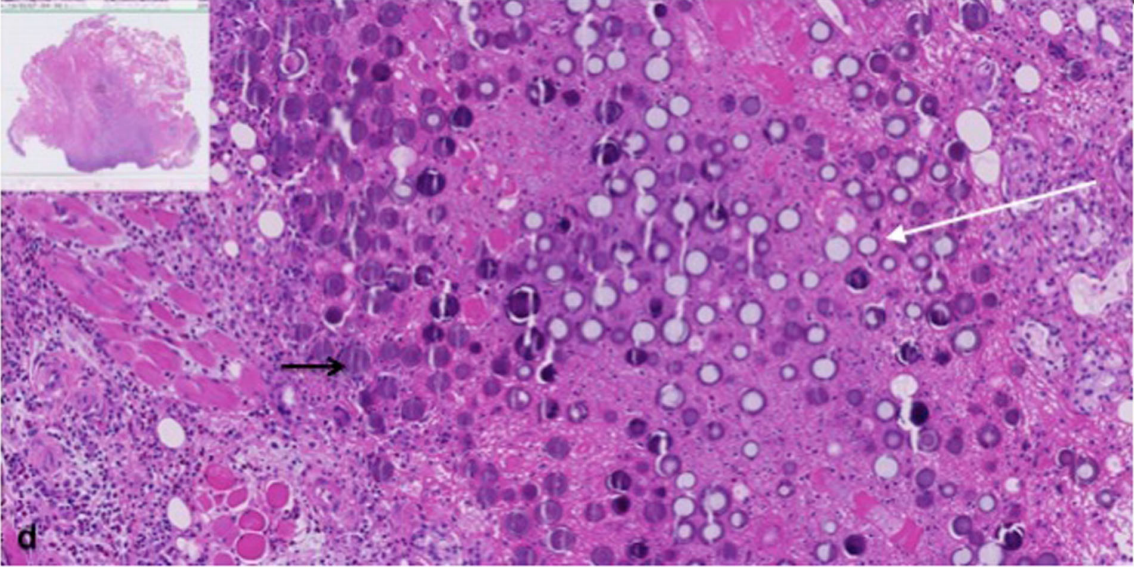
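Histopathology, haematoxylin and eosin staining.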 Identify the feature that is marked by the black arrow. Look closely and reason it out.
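The spheres at the black arrow are filled with purple material. The spheres are far too regular and round to be cells.
Conclusion: sliced microspheres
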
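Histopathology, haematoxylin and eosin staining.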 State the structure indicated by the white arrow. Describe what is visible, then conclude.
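Partly or totally removed microspheres. The white arrow points to round, empty-looking pale holes. These holes have the same size as the purple spheres next to them. Some holes have a thin purple rim.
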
